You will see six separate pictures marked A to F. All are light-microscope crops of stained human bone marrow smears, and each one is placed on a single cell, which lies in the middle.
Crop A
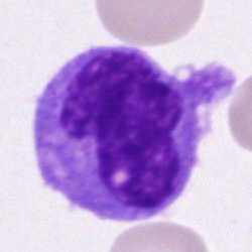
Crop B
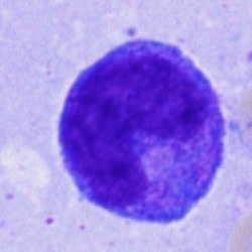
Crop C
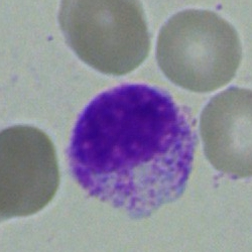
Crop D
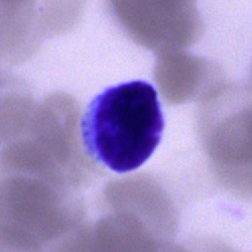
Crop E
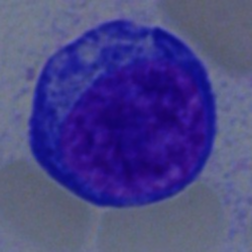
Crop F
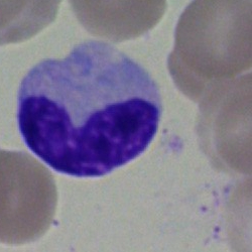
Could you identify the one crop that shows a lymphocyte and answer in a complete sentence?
Look at crop D; that is the one with a lymphocyte in its center.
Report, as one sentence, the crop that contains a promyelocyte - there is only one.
Crop B is the crop in which a promyelocyte is shown.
